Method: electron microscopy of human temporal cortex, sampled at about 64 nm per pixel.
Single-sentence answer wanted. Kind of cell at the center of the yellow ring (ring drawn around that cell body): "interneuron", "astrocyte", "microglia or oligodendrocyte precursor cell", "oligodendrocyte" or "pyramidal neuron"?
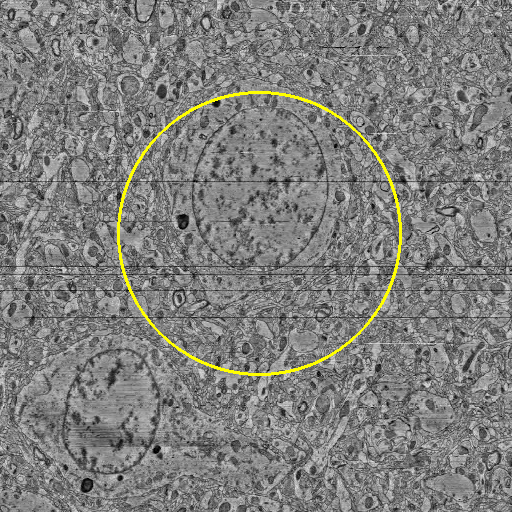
The cell centered in the ring is a pyramidal neuron.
